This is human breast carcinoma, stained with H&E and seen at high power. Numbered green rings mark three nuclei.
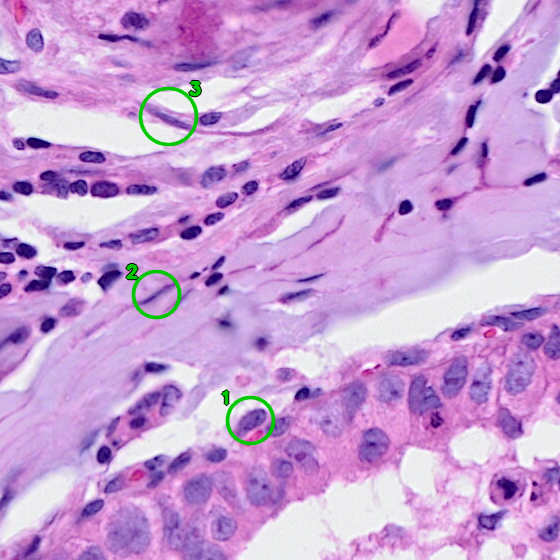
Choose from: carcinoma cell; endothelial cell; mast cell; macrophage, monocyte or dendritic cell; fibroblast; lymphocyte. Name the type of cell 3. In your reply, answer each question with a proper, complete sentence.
Nucleus 3 in this section belongs to a fibroblast.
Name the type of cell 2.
Number 2 is placed on a fibroblast here.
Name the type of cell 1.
The marked nucleus 1 is that of an endothelial cell.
